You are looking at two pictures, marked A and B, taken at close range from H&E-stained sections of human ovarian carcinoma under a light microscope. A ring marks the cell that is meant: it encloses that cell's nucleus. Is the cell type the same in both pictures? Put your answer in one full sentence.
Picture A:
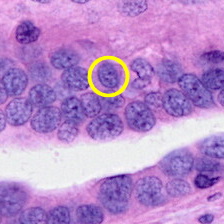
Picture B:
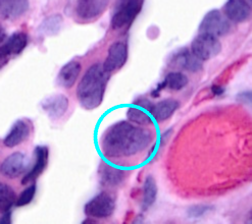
Yes, both cells are carcinoma cells.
